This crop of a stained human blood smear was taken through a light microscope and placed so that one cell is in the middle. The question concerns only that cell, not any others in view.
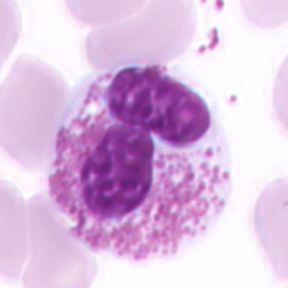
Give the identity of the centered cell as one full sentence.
To answer, the cell in the center of the crop is an eosinophil.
